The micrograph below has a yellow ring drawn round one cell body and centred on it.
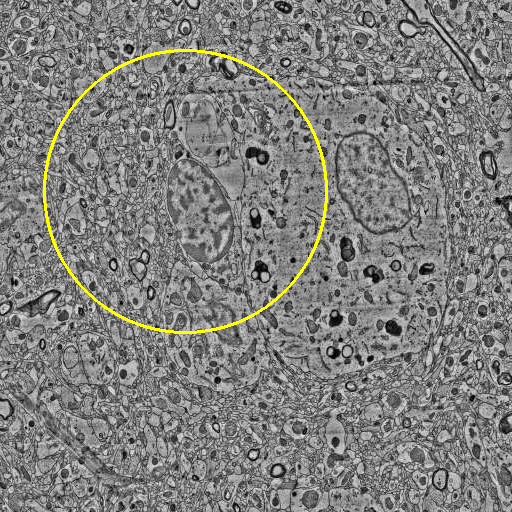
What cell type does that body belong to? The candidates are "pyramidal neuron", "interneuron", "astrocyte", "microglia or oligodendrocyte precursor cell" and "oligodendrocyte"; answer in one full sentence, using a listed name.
This is a microglial cell or oligodendrocyte precursor cell, the cell whose body lies at the centre of the ring.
